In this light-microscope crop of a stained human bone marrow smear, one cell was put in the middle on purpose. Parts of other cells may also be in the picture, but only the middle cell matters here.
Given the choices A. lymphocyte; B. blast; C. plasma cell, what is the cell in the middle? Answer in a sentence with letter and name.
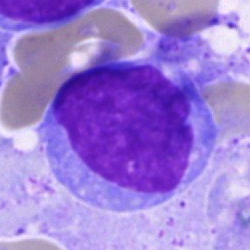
The central cell in this crop is a blast, corresponding to option B, the correct option.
